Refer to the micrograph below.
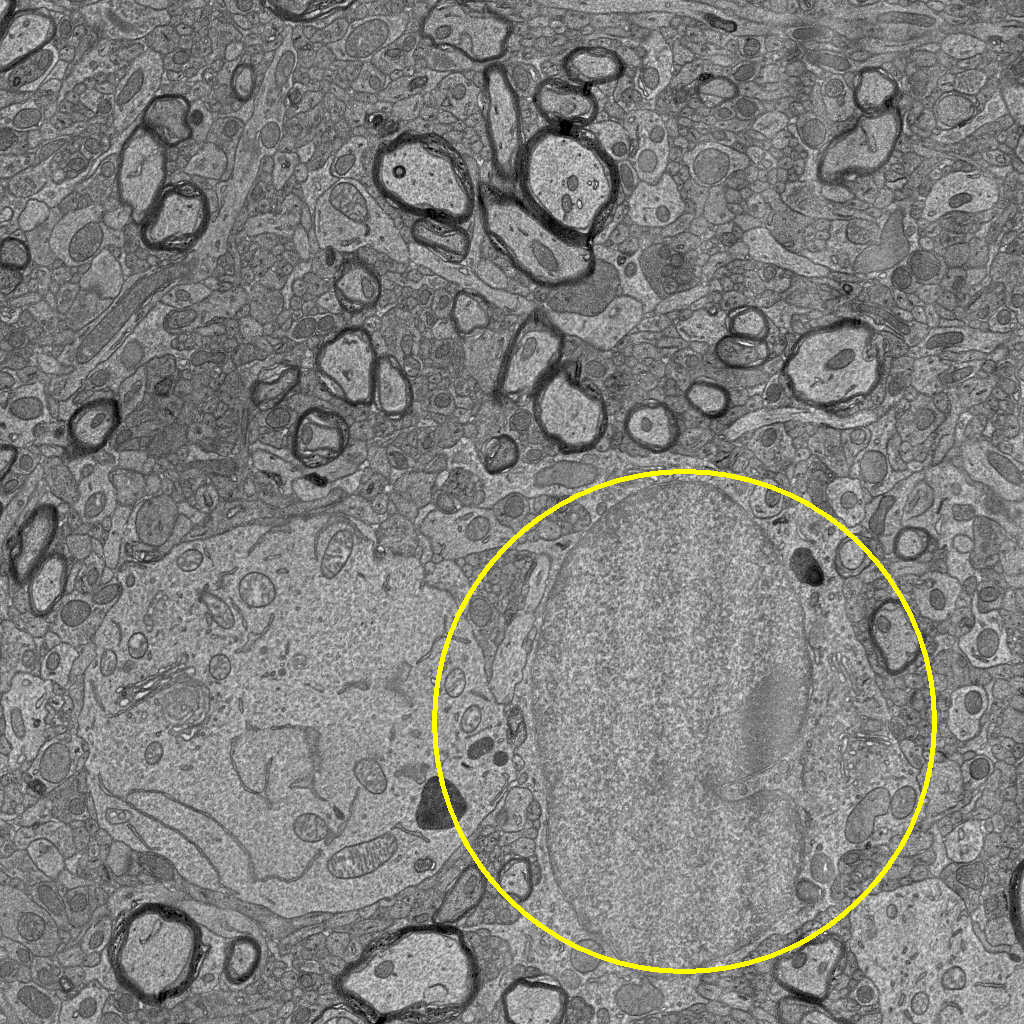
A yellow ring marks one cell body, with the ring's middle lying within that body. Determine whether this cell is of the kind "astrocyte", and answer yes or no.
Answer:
yes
